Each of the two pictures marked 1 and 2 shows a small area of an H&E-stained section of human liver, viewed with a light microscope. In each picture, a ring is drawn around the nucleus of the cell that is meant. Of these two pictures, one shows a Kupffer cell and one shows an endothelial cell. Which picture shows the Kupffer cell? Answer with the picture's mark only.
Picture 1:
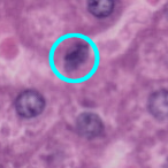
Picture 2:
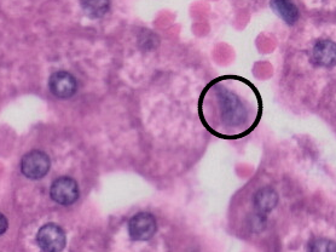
2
